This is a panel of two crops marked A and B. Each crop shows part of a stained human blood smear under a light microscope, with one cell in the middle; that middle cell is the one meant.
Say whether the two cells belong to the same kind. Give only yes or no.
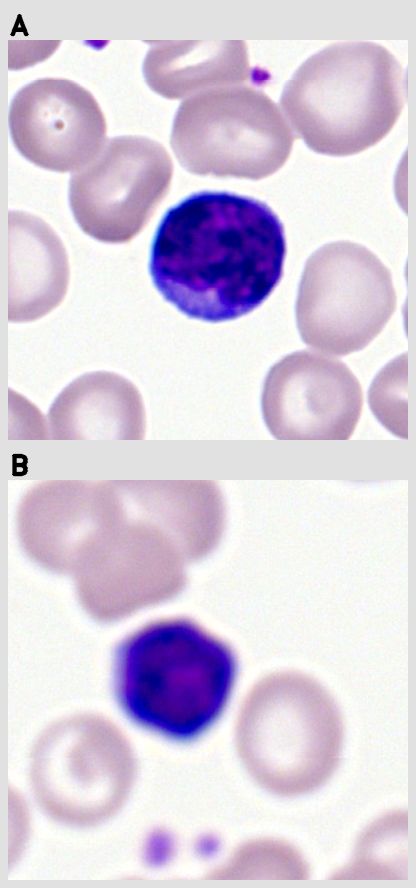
yes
